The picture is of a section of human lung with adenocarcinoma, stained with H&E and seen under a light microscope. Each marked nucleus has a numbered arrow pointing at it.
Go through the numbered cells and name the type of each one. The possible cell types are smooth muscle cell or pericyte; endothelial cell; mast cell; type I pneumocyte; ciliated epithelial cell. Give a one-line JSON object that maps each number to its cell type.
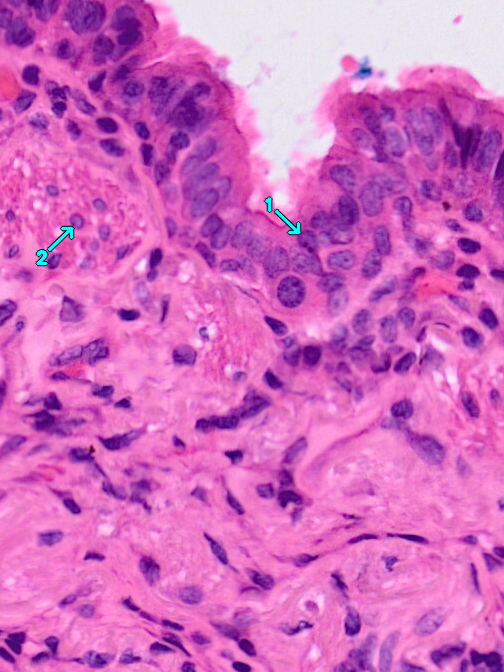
{"1": "ciliated epithelial cell", "2": "smooth muscle cell or pericyte"}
